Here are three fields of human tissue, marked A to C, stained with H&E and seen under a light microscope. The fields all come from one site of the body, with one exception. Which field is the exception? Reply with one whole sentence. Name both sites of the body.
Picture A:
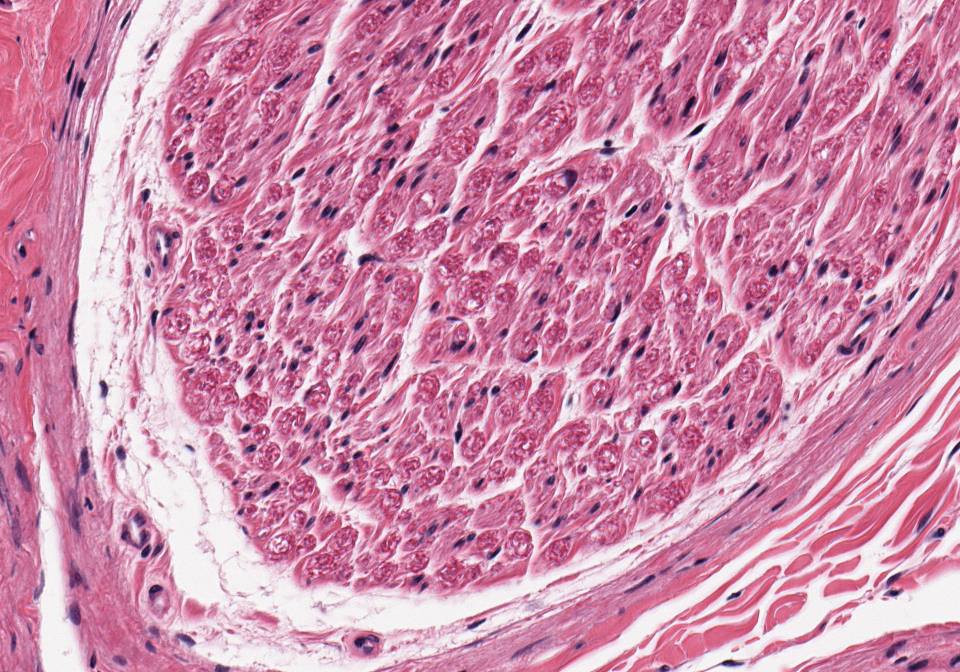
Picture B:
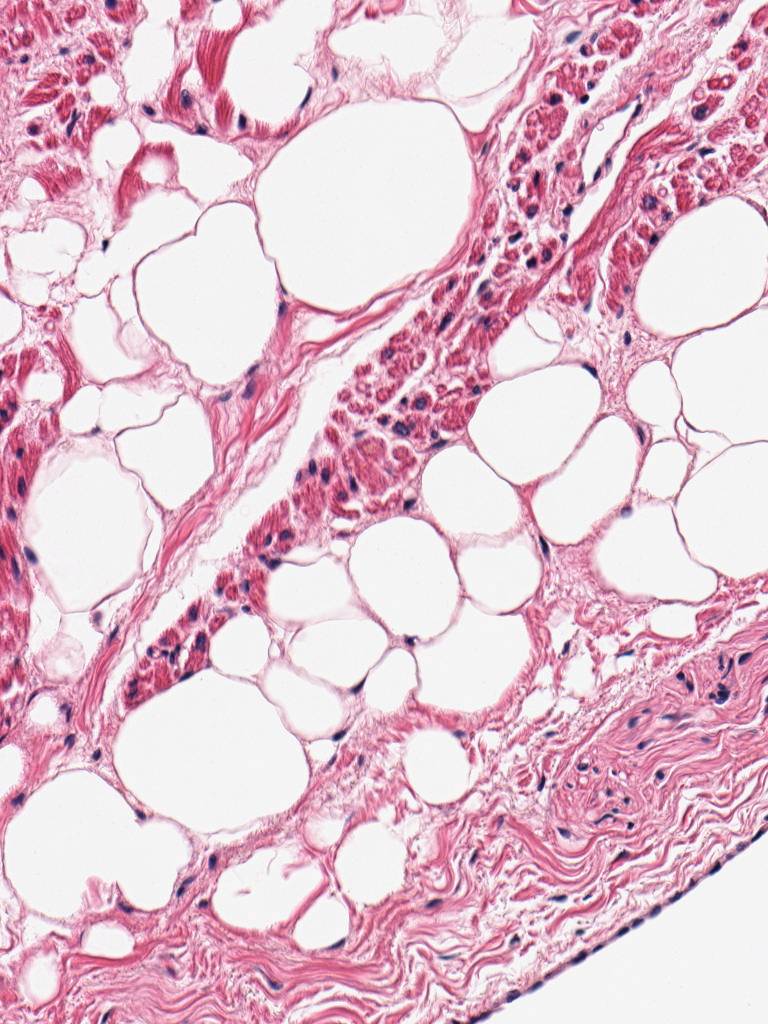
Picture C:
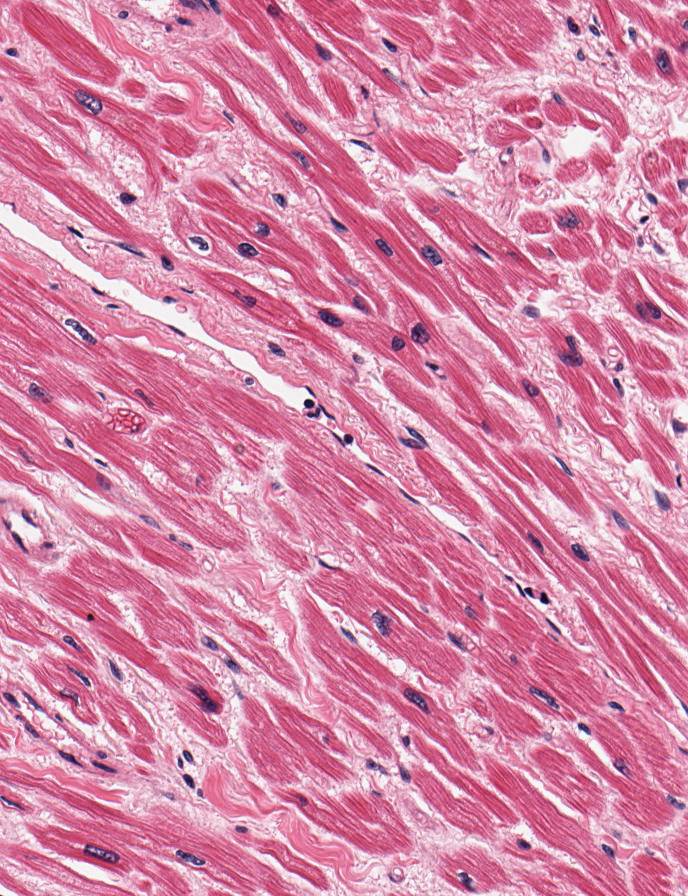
Unlike the rest, which come from the atrial appendage of the heart, picture A comes from the tibial nerve.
